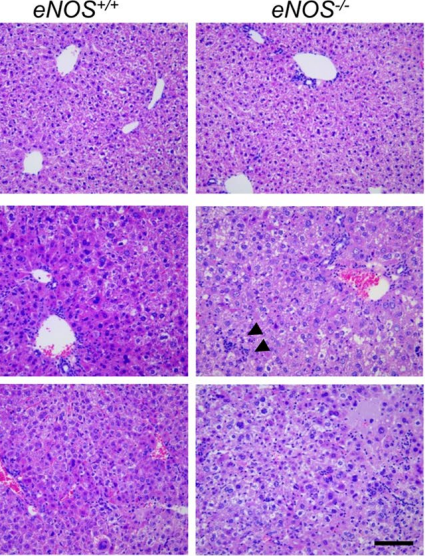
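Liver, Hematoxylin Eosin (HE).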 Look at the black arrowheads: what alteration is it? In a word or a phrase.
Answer: Inflammatory foci.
